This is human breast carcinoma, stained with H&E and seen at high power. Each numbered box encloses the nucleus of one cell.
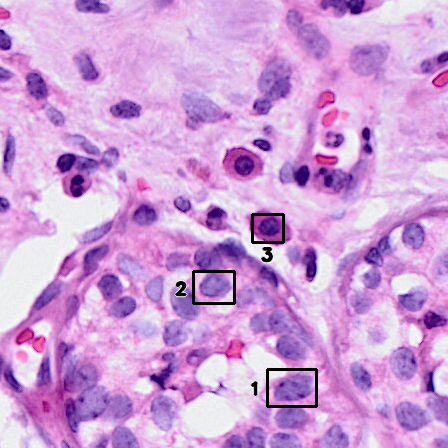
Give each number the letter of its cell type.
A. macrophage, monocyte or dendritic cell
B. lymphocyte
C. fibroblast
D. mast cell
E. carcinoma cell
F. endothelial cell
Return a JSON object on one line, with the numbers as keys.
{"1": "E", "2": "E", "3": "D"}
